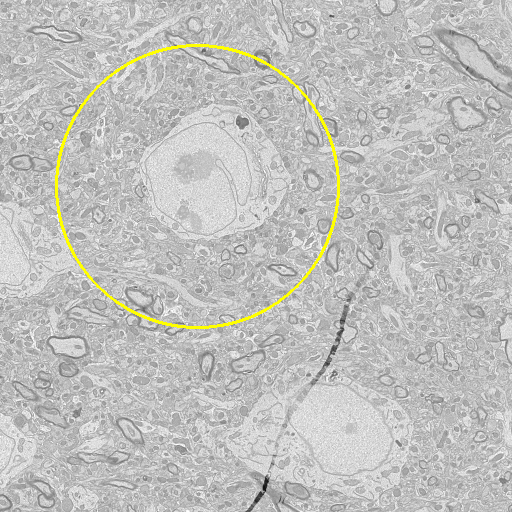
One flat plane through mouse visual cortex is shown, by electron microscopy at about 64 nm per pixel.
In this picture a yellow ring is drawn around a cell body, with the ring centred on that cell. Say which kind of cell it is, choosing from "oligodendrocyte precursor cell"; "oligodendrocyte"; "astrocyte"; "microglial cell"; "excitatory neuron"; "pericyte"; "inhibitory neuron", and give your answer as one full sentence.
Here it is an excitatory neuron that sits at the centre of the drawn yellow ring.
